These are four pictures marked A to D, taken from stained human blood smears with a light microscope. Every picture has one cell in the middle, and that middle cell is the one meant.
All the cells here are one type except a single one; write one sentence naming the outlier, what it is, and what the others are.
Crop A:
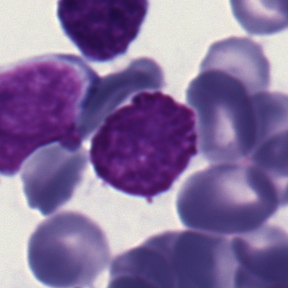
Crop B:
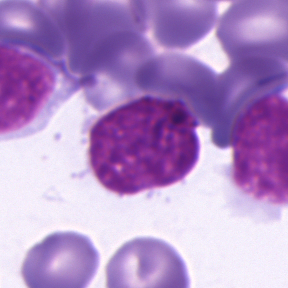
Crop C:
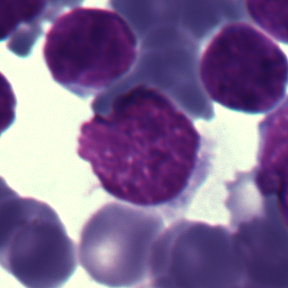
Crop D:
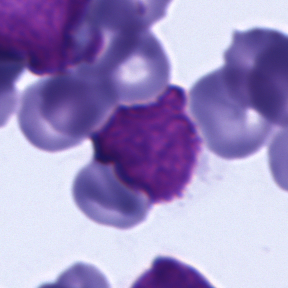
Crop D is the one to flag: it is a smudge cell, and the rest show myeloblasts.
